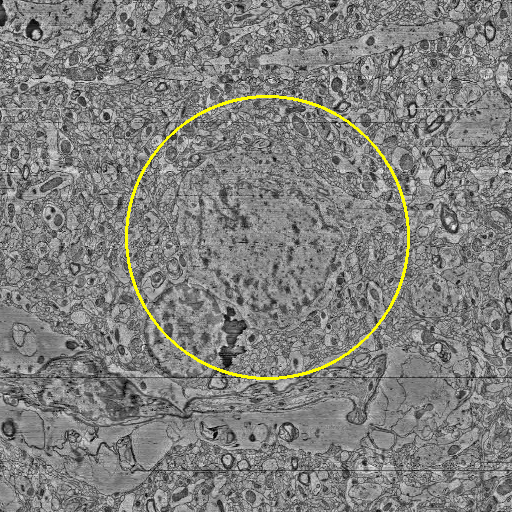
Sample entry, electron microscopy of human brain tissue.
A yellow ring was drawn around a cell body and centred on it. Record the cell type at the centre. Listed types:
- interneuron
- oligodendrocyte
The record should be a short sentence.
The cell at the ring's centre is an interneuron.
